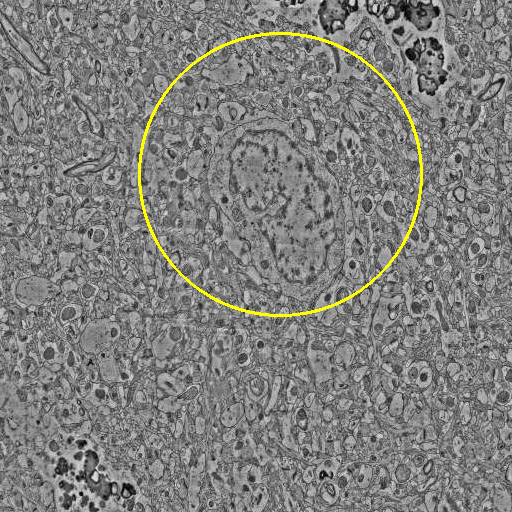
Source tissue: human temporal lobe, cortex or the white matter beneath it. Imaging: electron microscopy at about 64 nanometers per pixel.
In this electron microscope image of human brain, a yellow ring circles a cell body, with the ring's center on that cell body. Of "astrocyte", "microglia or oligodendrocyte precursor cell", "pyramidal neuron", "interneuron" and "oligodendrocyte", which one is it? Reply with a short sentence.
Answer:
It is an interneuron at the center of the ring.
